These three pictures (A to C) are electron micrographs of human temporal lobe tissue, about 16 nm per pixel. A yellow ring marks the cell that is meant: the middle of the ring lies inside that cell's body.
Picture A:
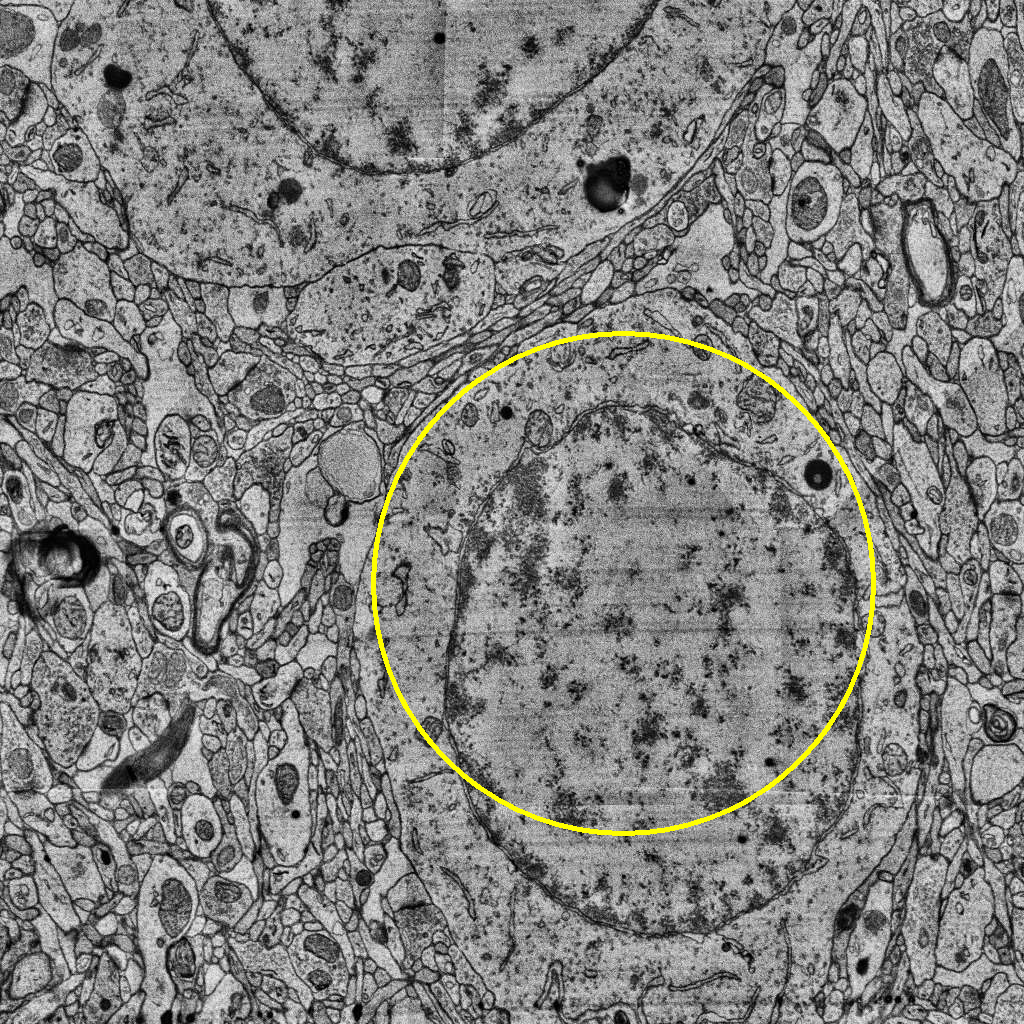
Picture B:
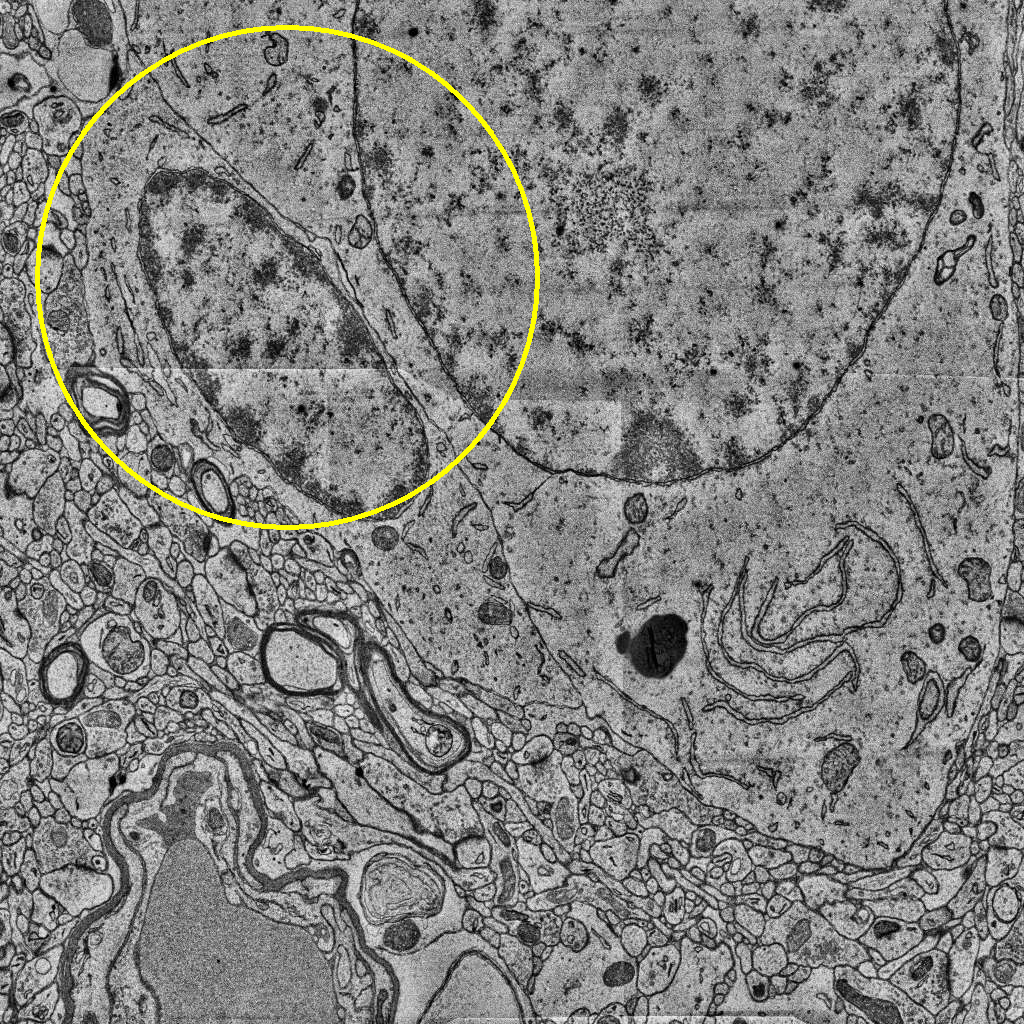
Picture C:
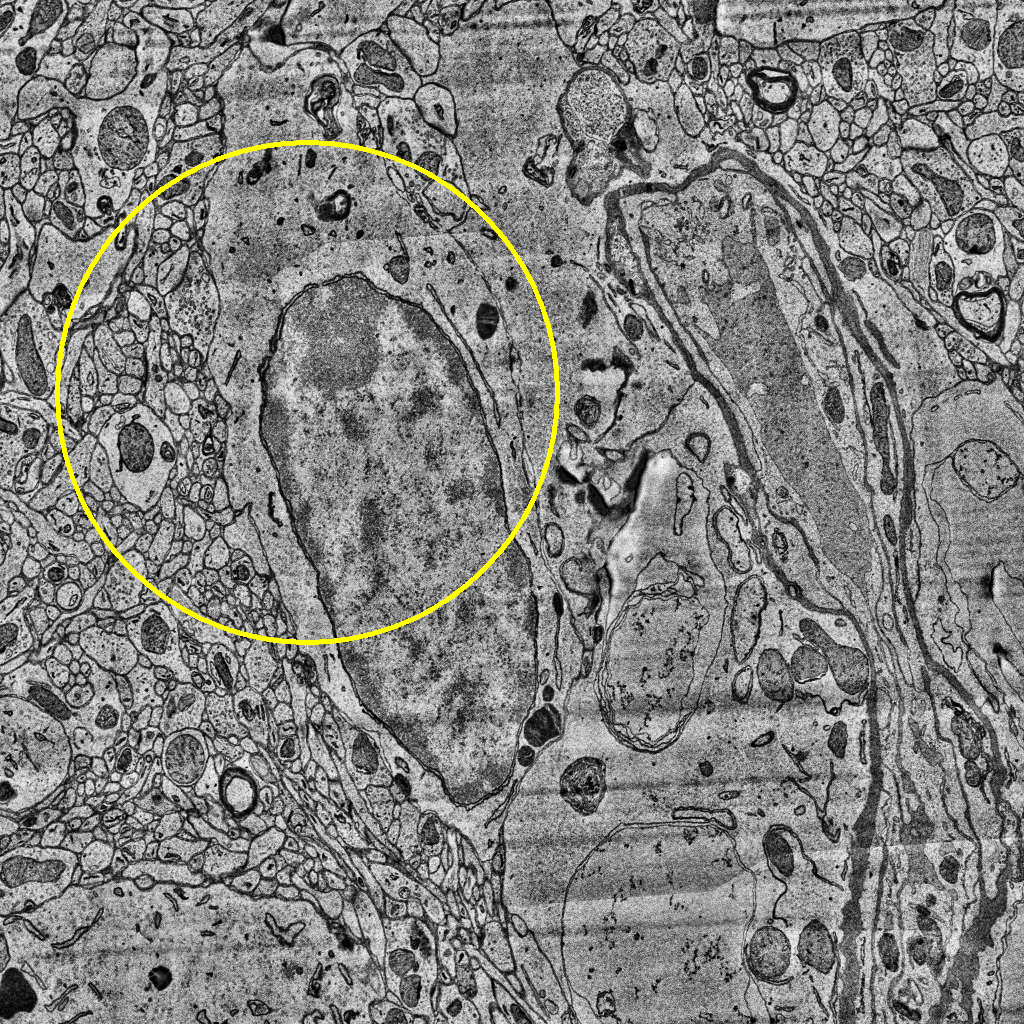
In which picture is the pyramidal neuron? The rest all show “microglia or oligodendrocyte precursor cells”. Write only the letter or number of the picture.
A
